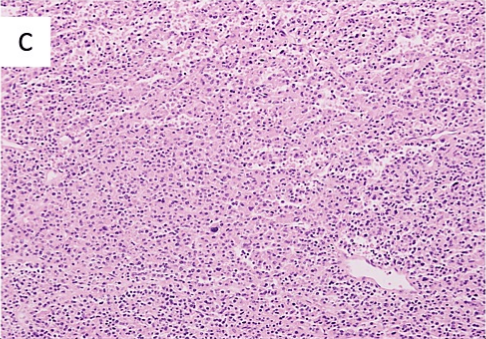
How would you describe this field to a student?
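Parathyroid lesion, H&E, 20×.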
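Cells are polygonal to round with small, round, dark purple nuclei that are fairly uniform, occasional larger nucleus present. Cells lie in solid sheets and vague nests separated by delicate strands; a few thin-walled vascular channels with empty lumens run through the field. No necrosis or fibrous bands are visible at this spot.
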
